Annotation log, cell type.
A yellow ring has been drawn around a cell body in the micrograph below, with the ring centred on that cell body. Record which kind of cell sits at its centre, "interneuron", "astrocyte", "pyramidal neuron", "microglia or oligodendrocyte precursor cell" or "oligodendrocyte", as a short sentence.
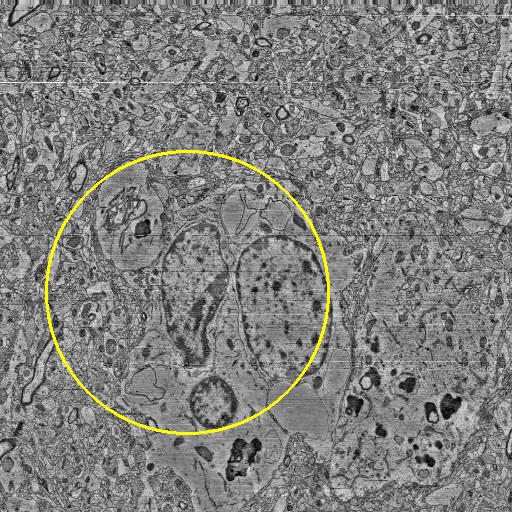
The cell at the centre of this ring is a microglial cell or oligodendrocyte precursor cell.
